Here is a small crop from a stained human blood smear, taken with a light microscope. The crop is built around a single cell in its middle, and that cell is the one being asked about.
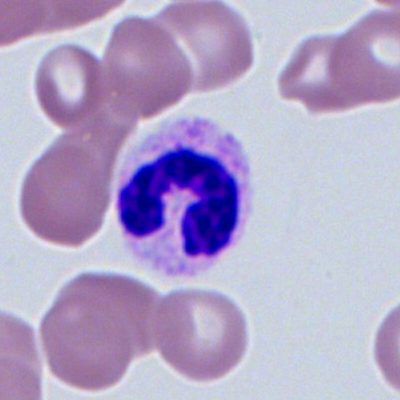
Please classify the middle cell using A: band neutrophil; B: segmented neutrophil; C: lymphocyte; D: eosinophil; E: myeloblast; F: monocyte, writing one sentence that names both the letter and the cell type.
The one to choose is option A, as the cell in the middle is a band neutrophil.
